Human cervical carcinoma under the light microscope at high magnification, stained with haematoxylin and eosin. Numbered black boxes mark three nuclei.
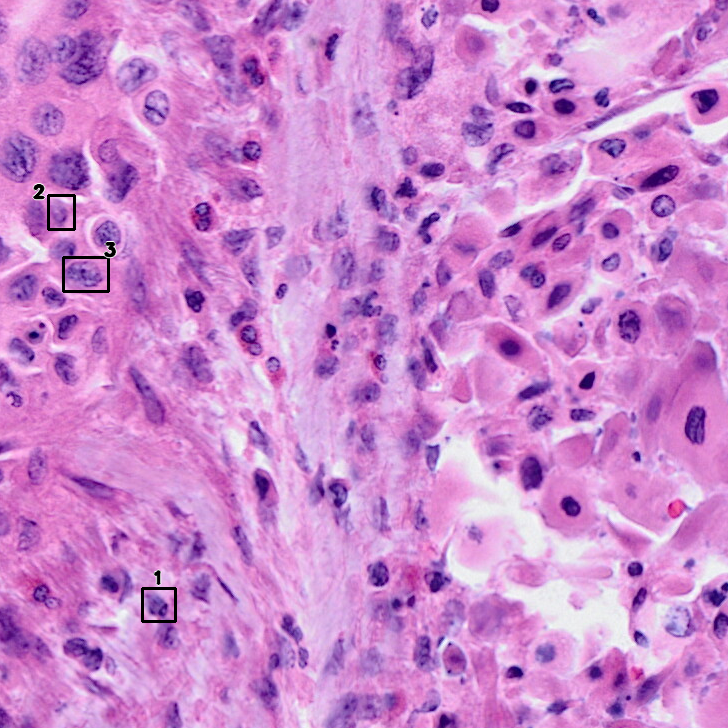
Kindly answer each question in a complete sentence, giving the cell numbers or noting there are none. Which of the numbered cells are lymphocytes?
Only one choice fits: cell 1 is a lymphocyte, and no other.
